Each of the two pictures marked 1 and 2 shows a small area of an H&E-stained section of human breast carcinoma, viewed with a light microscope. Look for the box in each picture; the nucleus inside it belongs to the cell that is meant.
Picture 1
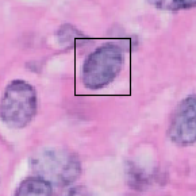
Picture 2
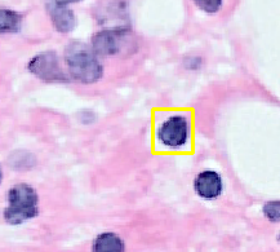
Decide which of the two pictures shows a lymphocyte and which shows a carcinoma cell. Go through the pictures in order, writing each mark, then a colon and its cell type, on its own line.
1: carcinoma cell
2: lymphocyte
